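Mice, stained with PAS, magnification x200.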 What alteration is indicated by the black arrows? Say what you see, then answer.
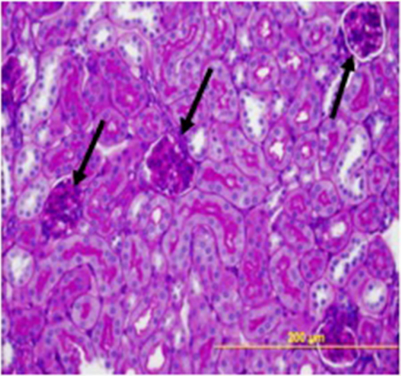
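Condensed glomeruli. The arrows point to round tufts that stain deep magenta and are crowded with nuclei. These tufts fill most of their capsule, leaving only a thin clear rim around them.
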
